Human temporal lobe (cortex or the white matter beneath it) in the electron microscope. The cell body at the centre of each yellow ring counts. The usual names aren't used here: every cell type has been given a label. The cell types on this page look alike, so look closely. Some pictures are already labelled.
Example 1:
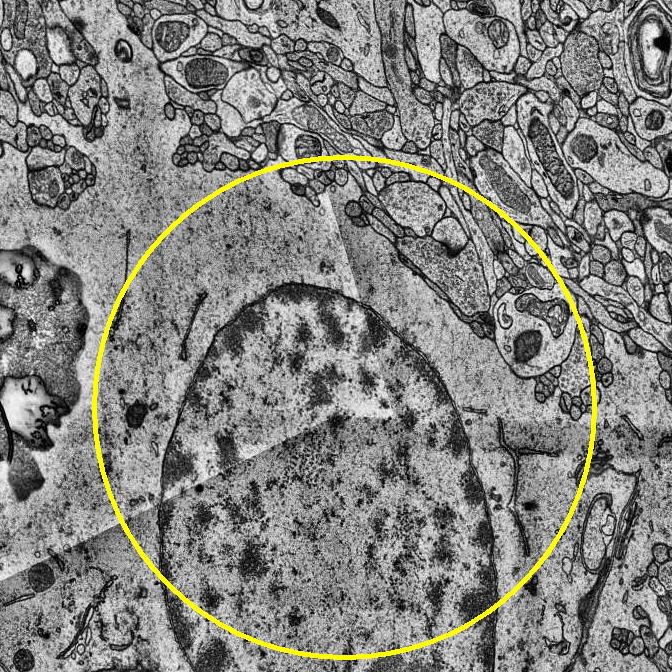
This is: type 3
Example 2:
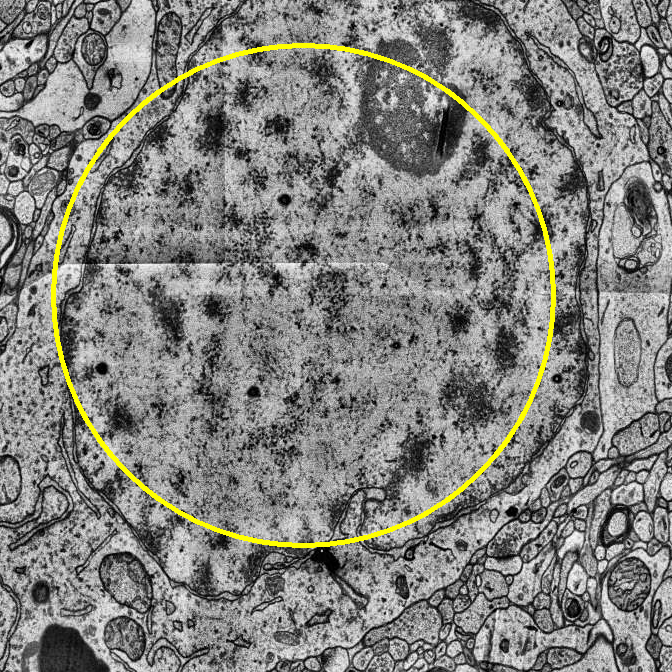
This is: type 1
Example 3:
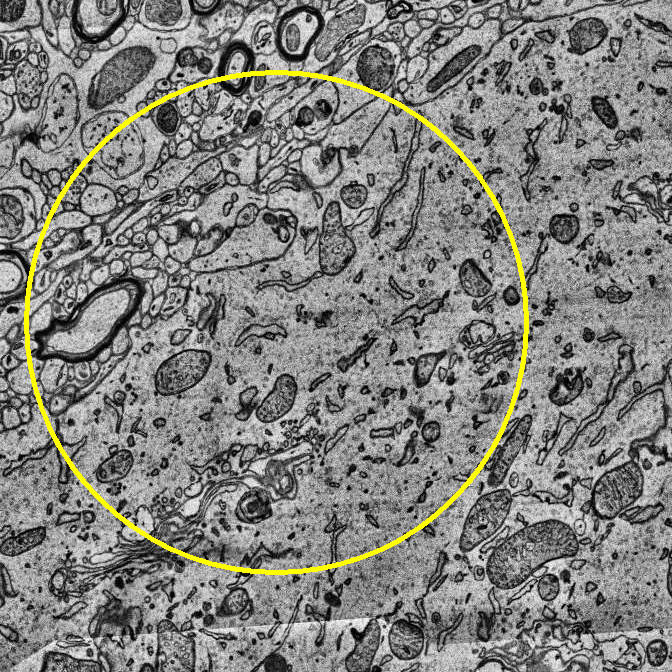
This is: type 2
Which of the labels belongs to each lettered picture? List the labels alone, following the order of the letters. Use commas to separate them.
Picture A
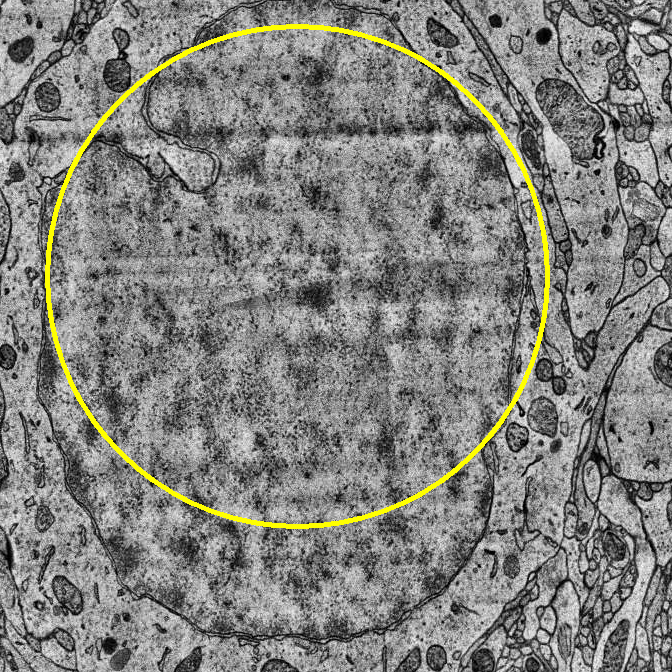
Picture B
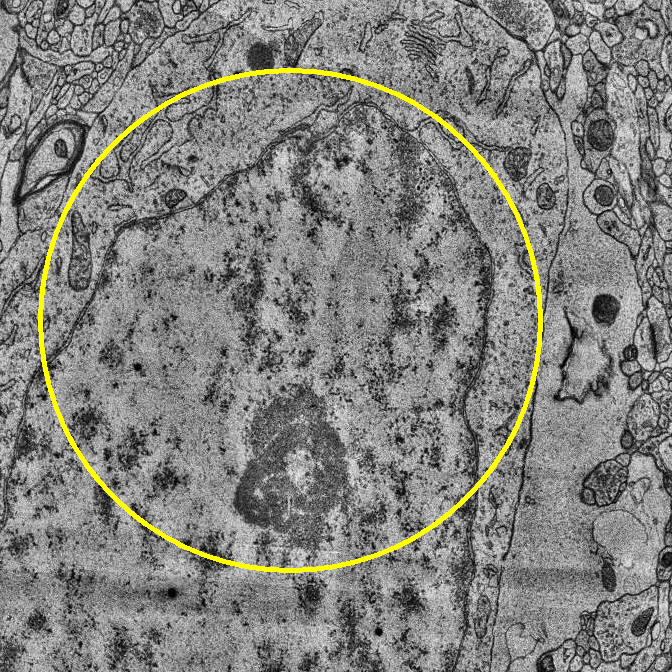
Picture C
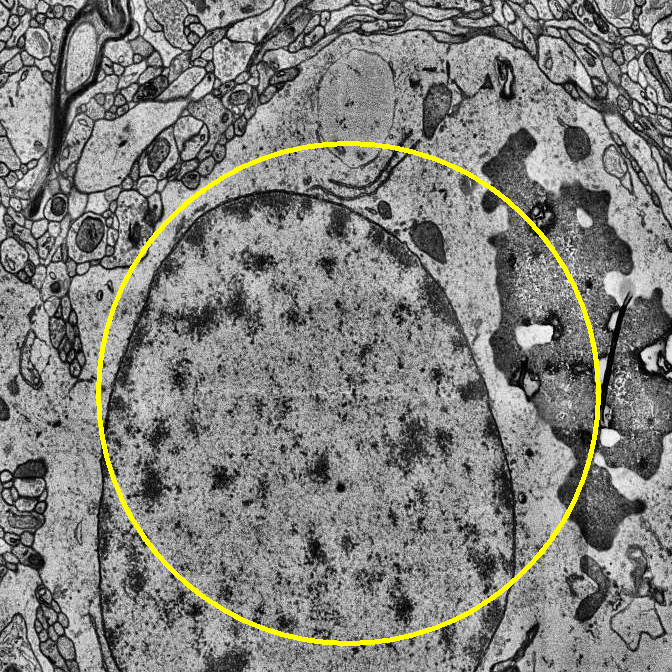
type 1, type 1, type 3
